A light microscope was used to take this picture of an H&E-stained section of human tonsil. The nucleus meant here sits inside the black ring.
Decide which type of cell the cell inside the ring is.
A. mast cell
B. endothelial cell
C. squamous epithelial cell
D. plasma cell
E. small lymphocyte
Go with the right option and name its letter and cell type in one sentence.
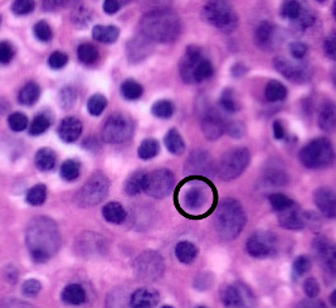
The correct pick is option C; the cell inside the ring is a squamous epithelial cell.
